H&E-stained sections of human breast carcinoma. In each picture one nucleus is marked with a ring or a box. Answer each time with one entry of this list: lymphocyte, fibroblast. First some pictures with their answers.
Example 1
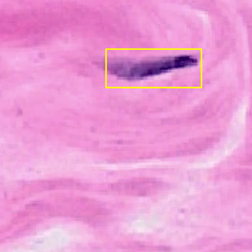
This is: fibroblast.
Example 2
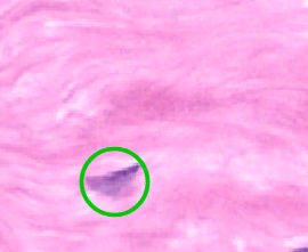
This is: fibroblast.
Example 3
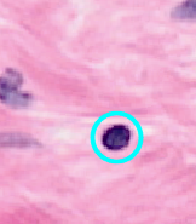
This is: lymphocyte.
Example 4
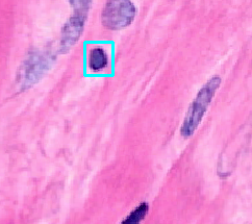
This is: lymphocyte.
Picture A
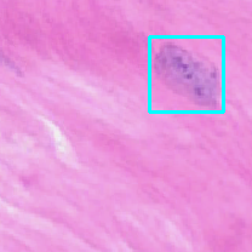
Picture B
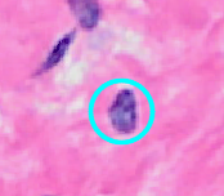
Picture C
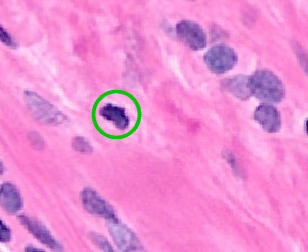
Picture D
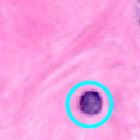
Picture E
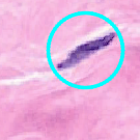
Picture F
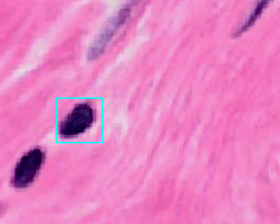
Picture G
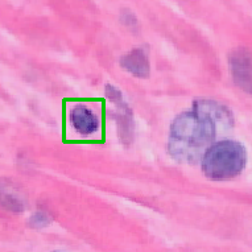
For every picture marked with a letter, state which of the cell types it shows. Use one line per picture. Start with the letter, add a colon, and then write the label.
A: fibroblast.
B: lymphocyte.
C: lymphocyte.
D: lymphocyte.
E: fibroblast.
F: lymphocyte.
G: lymphocyte.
